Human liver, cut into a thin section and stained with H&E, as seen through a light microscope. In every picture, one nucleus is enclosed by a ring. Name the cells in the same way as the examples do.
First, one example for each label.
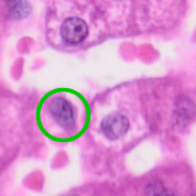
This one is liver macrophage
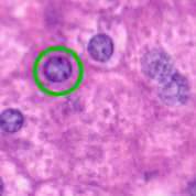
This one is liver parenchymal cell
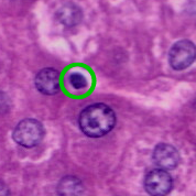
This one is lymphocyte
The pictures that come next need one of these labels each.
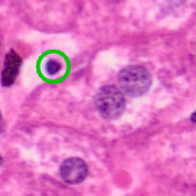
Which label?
lymphocyte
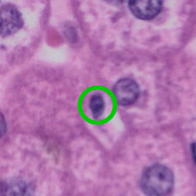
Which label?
lymphocyte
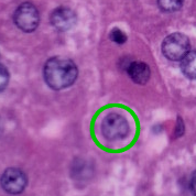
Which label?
liver parenchymal cell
